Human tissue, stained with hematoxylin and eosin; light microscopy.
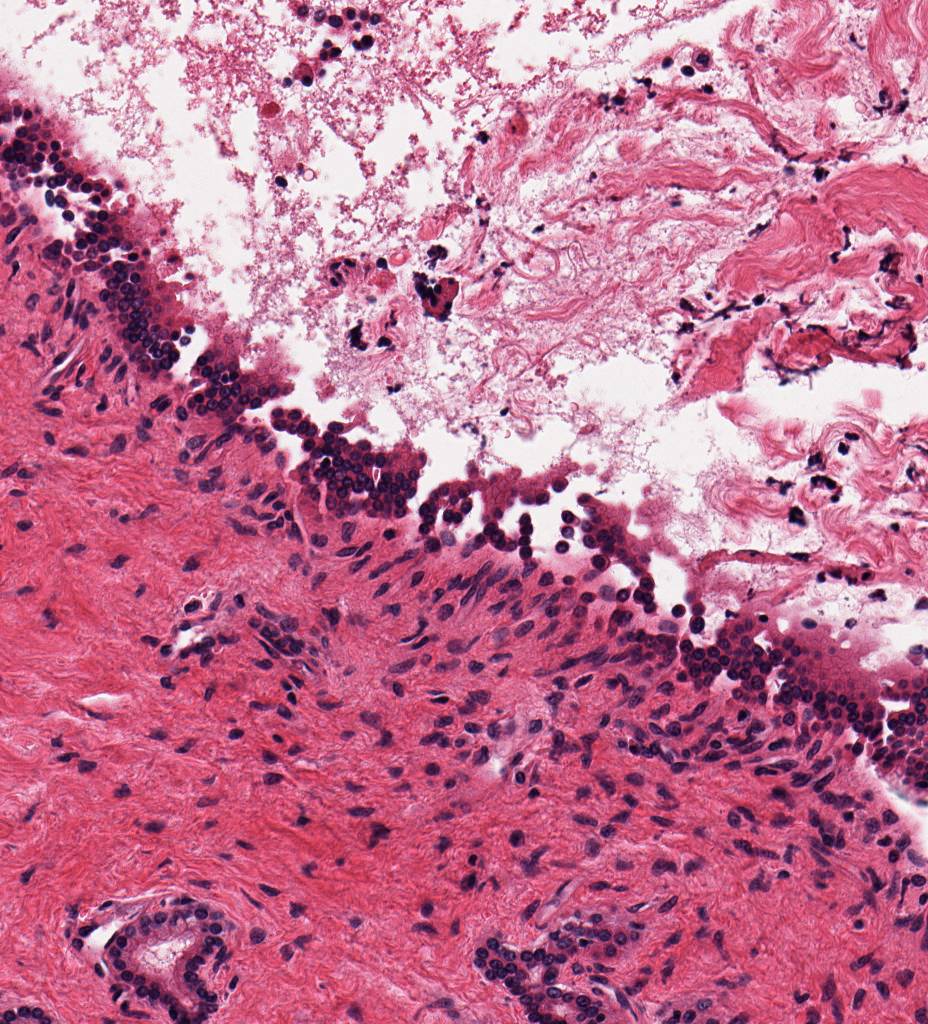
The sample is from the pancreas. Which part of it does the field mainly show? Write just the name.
excretory duct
